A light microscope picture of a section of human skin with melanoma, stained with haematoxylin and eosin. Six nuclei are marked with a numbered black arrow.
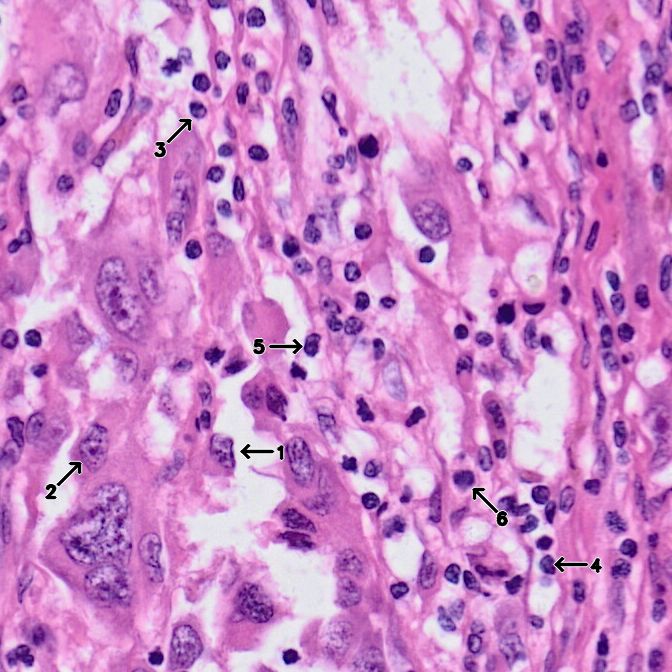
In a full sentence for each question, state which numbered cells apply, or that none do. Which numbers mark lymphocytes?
To be specific, the cells numbered 3, 4 and 5 are lymphocytes.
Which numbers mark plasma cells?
Only one of the numbered nuclei, number 6, belongs to a plasma cell.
